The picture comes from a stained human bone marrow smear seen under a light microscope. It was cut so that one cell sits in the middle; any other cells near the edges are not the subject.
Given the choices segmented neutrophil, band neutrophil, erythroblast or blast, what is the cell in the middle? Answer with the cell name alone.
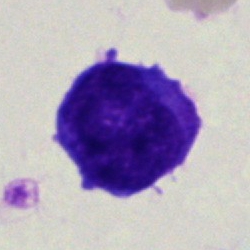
blast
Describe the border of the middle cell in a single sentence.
Irregular and not smooth, the cell boundary is ragged or drawn out into projections.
